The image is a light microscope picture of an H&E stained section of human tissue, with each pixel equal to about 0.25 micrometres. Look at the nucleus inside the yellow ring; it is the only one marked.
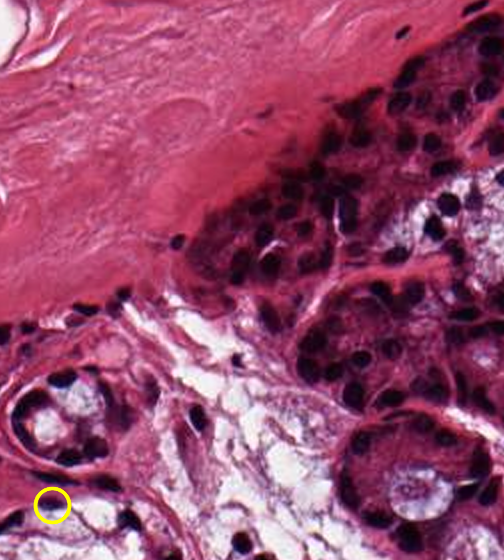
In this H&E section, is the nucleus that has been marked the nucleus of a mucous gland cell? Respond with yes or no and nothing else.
yes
